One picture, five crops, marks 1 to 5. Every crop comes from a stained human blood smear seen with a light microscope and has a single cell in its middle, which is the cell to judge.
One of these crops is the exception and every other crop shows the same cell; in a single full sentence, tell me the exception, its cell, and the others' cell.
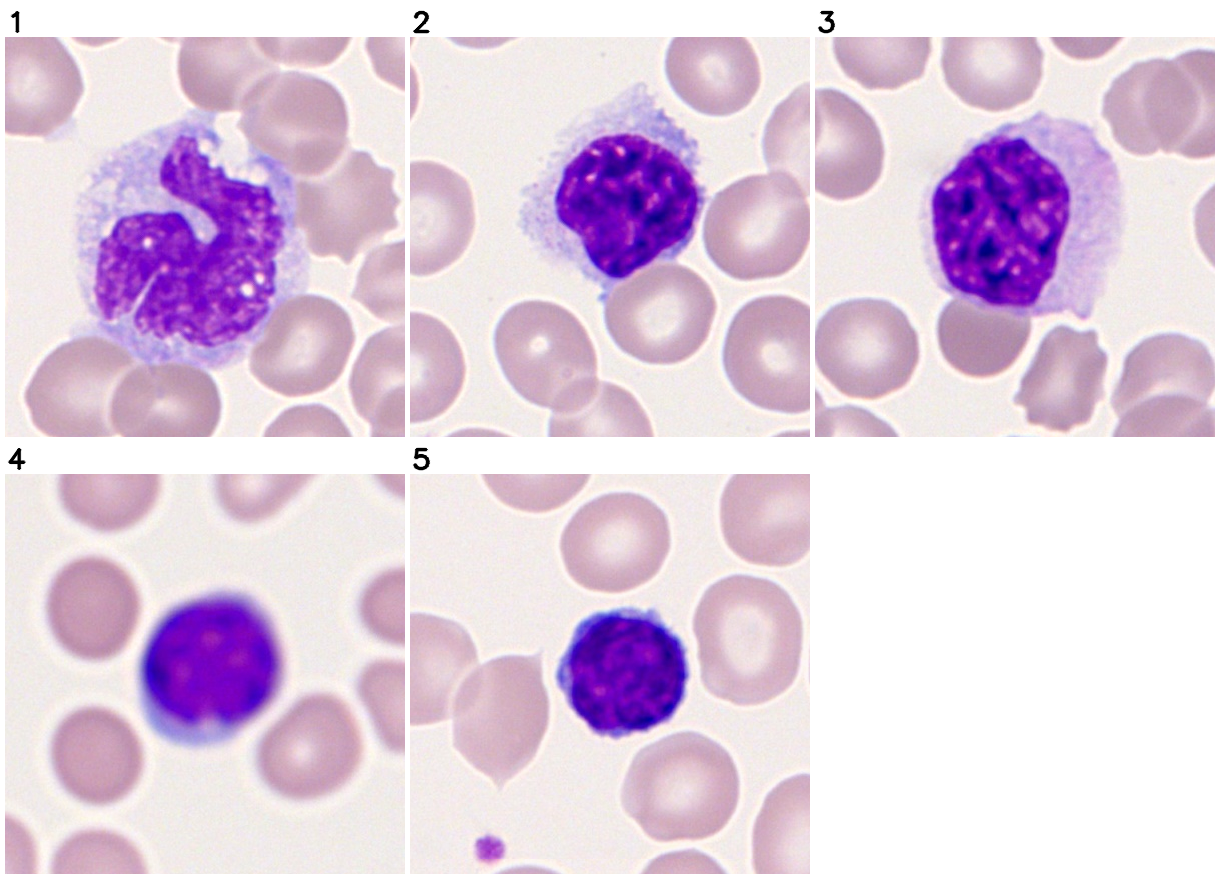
Crop 1 is a monocyte, while the rest of the set consists of lymphocytes.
